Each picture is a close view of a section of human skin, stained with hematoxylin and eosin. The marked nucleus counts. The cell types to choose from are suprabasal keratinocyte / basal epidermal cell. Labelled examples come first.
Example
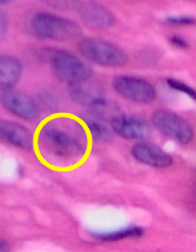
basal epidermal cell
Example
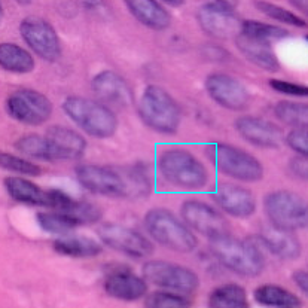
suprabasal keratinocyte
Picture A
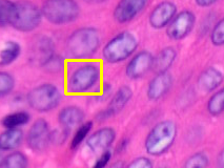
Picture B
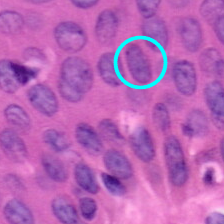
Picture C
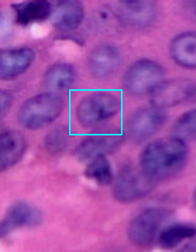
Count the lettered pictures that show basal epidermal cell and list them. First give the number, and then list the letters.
Count: 1 (C)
